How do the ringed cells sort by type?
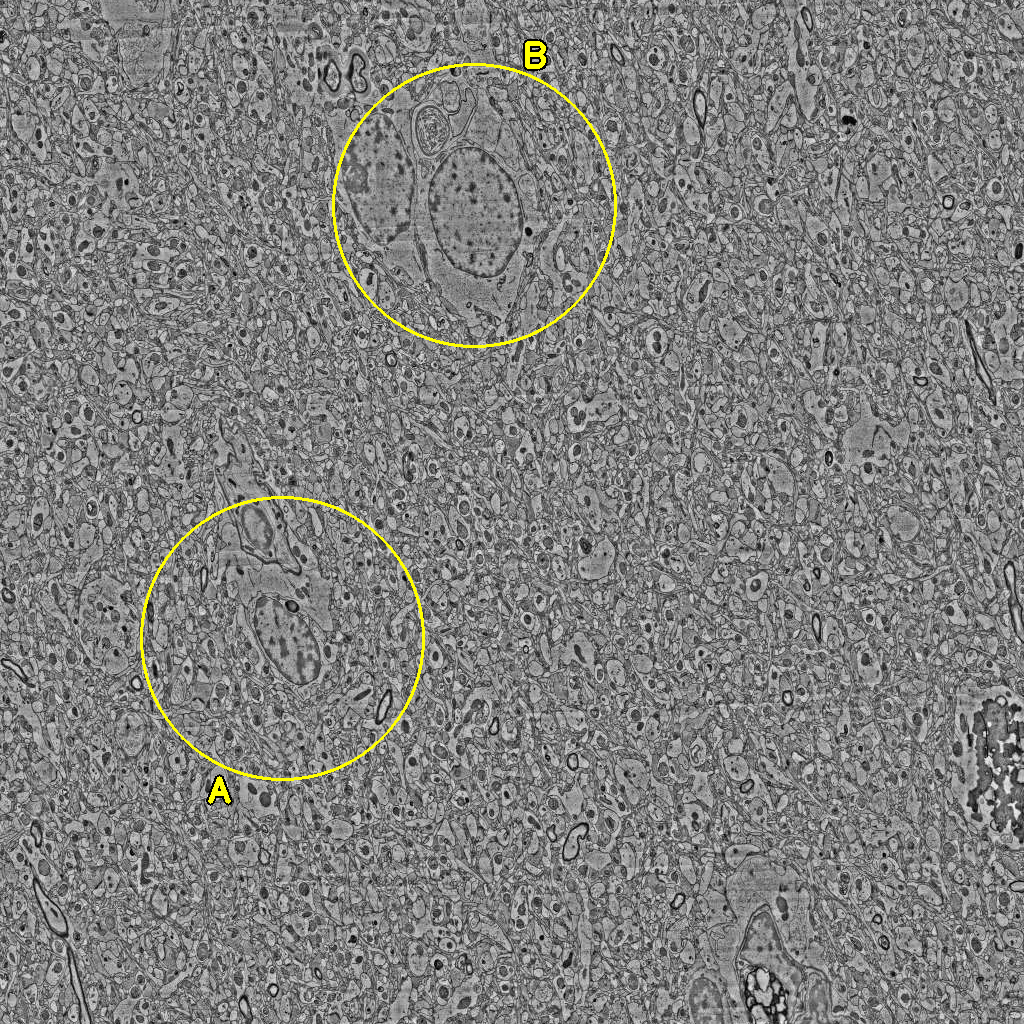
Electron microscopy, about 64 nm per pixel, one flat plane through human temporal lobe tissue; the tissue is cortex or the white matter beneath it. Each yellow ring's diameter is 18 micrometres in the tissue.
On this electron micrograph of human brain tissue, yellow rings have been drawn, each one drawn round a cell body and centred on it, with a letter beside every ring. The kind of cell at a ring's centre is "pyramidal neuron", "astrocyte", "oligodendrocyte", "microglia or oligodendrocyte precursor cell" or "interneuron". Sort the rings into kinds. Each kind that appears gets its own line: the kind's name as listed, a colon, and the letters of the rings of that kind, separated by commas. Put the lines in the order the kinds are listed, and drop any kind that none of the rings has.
astrocyte: B
microglia or oligodendrocyte precursor cell: A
